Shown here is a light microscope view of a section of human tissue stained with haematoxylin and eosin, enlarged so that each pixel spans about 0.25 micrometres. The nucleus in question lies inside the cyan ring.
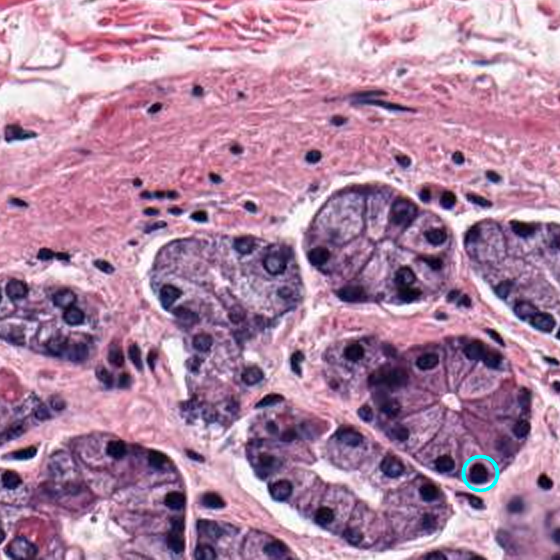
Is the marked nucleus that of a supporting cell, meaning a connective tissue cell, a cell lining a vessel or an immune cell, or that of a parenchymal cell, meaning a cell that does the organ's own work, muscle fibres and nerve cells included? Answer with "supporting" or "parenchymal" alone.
parenchymal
